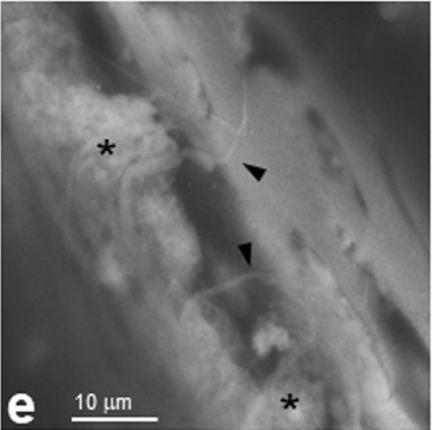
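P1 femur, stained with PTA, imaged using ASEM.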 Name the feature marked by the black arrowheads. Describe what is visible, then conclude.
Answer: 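Thin bright threads cross from a dark elongated cavity. The threads extend toward a cluster of textured cells at the left.
Filamentous structures.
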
